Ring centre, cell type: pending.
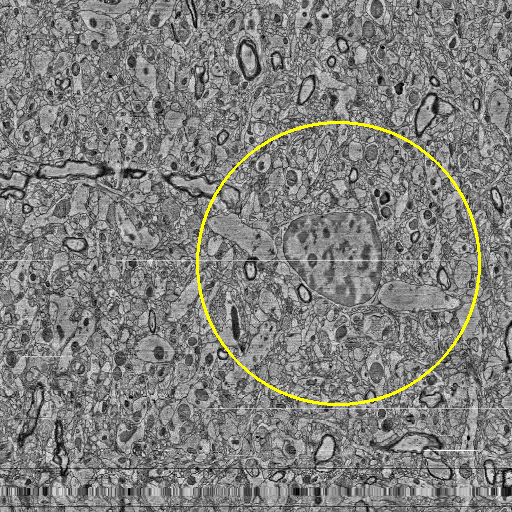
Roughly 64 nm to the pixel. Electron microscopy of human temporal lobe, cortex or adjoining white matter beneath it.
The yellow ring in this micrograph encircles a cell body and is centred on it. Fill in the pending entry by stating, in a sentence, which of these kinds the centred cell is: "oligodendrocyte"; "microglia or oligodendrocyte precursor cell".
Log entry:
The centred cell is recorded as a microglial cell or oligodendrocyte precursor cell.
